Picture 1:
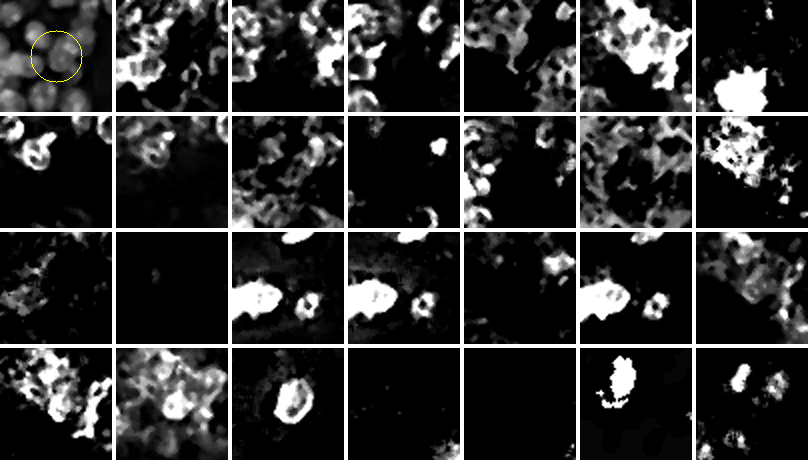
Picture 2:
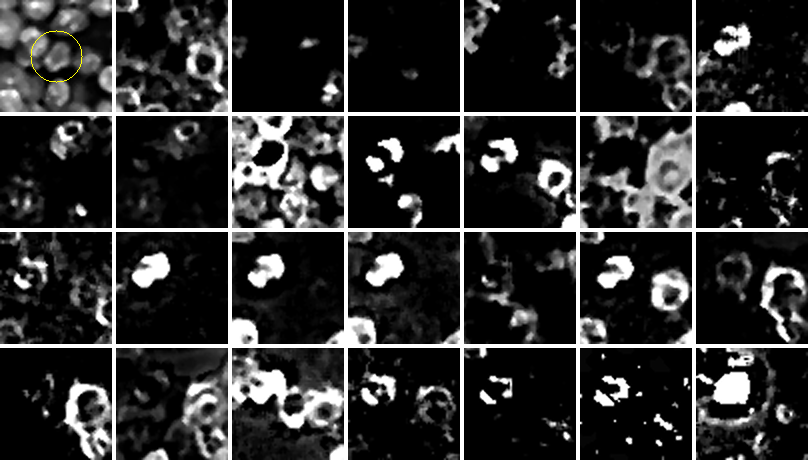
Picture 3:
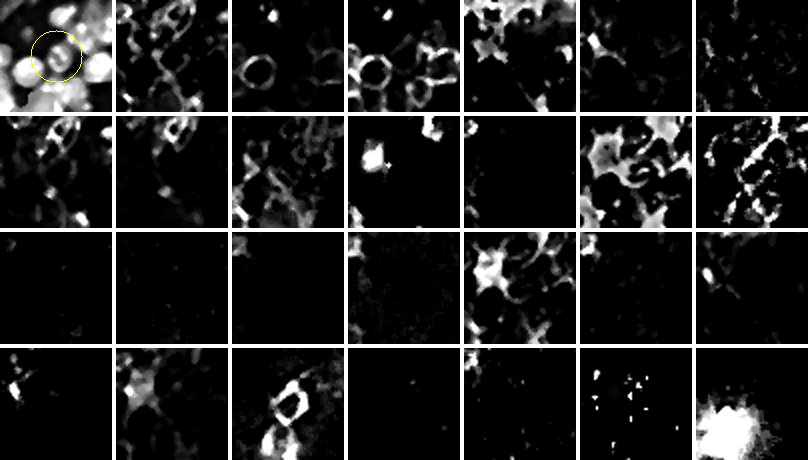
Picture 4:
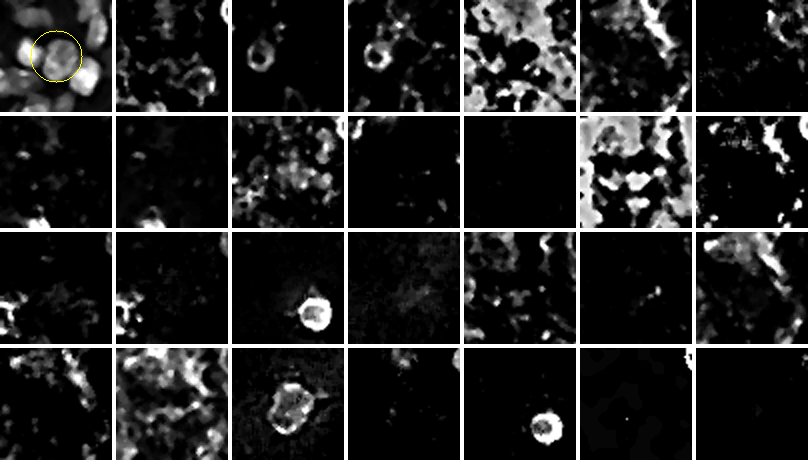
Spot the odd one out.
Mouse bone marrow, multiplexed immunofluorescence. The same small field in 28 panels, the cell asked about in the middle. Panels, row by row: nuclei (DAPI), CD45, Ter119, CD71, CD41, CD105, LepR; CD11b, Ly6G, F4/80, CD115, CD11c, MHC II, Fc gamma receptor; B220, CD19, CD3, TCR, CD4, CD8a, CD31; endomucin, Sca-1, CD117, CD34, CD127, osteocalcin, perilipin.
Picture 3 (a granulocyte-monocyte progenitor among KLS stem or progenitor cells).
